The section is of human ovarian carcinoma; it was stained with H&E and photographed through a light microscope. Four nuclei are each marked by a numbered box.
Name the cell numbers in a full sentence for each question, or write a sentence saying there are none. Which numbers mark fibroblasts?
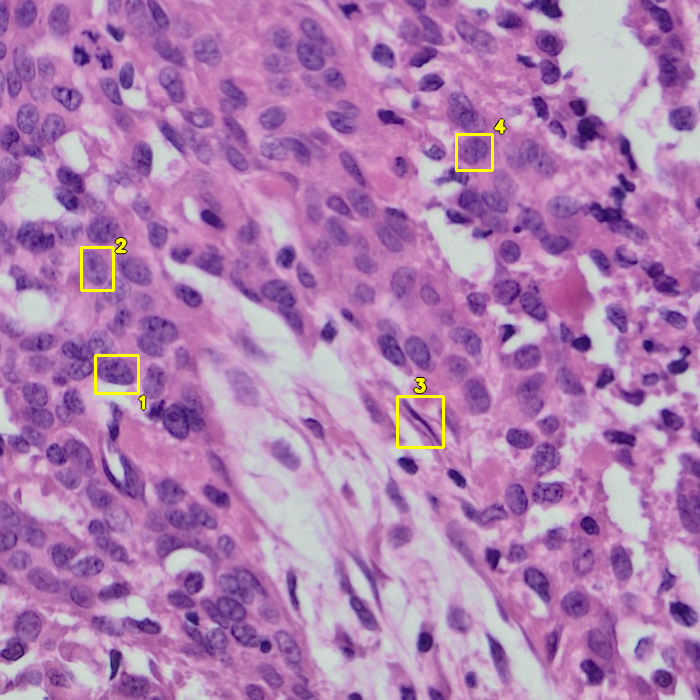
Cell 3 is a fibroblast, and it is the only numbered cell that is.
